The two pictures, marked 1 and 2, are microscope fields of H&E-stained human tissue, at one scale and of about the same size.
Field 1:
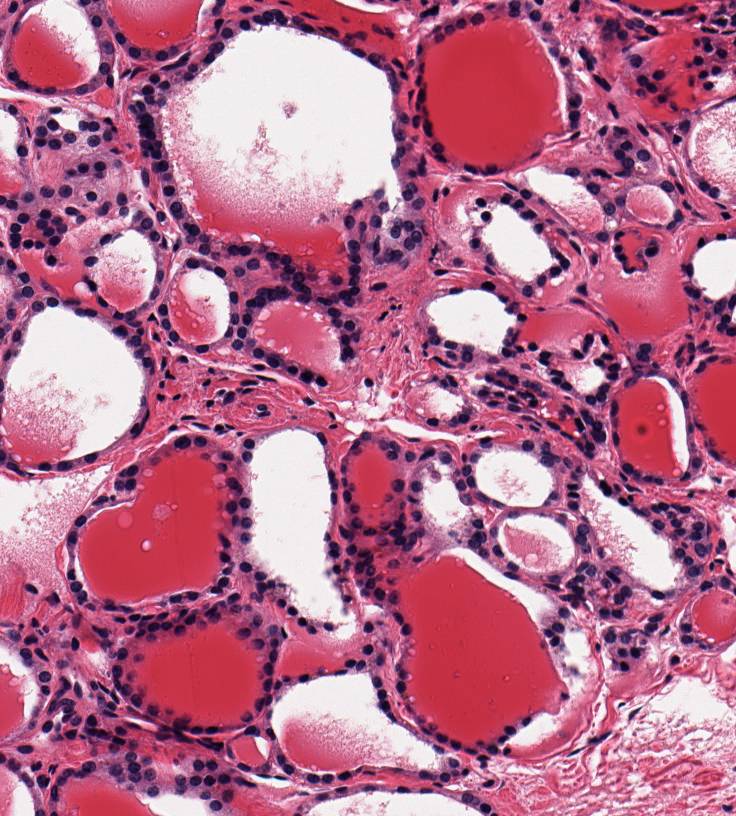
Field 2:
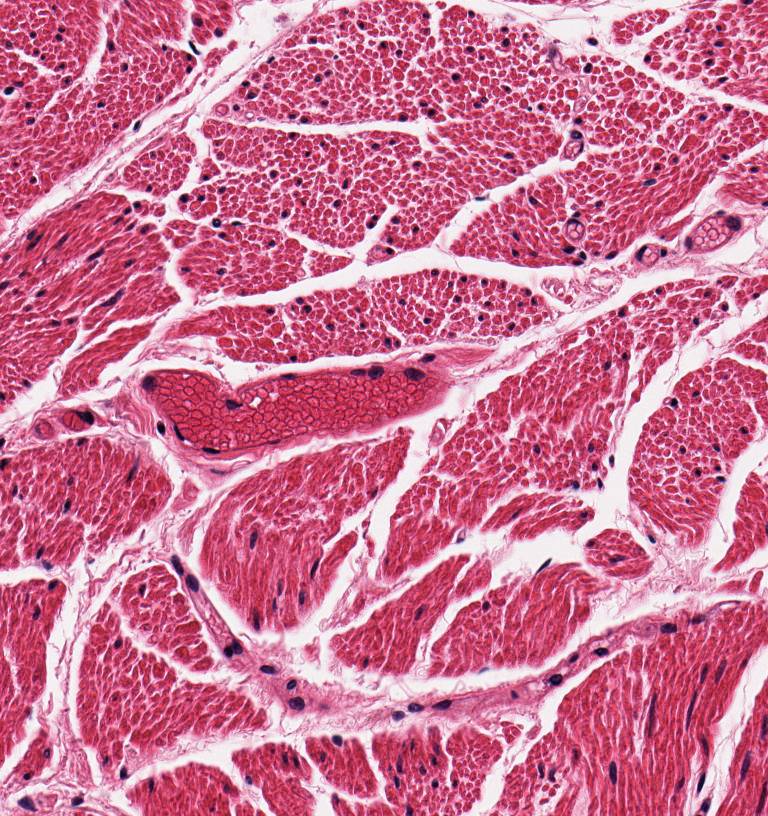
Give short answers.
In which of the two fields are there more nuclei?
1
